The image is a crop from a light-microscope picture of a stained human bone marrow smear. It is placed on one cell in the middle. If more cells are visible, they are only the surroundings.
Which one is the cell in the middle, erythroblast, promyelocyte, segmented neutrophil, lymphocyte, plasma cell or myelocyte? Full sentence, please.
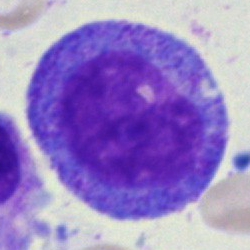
In this smear crop, the middle cell is a promyelocyte.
